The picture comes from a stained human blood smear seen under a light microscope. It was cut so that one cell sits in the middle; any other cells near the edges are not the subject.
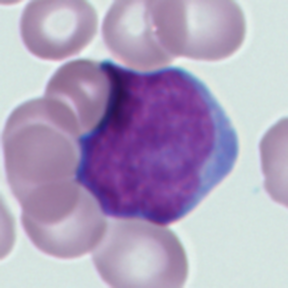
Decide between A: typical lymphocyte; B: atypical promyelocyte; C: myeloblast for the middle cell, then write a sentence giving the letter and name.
Option C holds, for the cell in the middle is a myeloblast.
